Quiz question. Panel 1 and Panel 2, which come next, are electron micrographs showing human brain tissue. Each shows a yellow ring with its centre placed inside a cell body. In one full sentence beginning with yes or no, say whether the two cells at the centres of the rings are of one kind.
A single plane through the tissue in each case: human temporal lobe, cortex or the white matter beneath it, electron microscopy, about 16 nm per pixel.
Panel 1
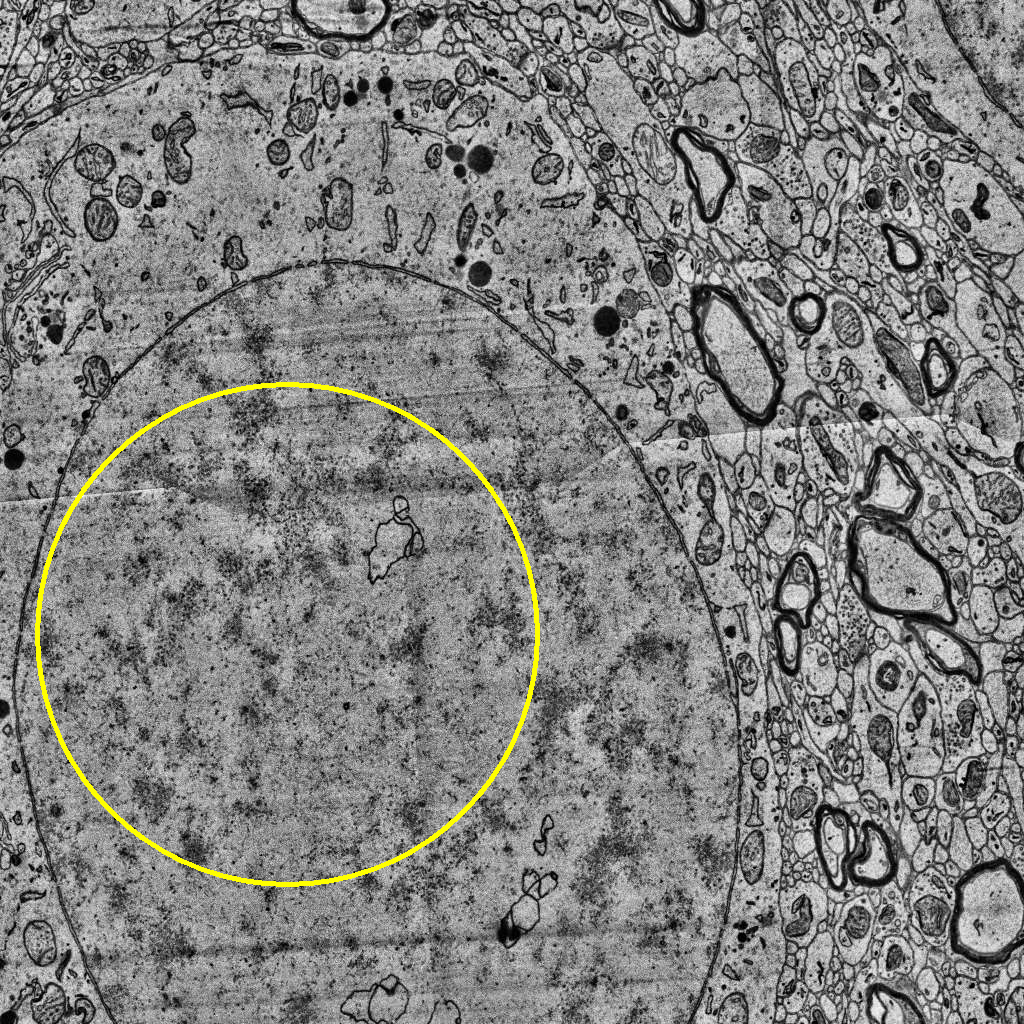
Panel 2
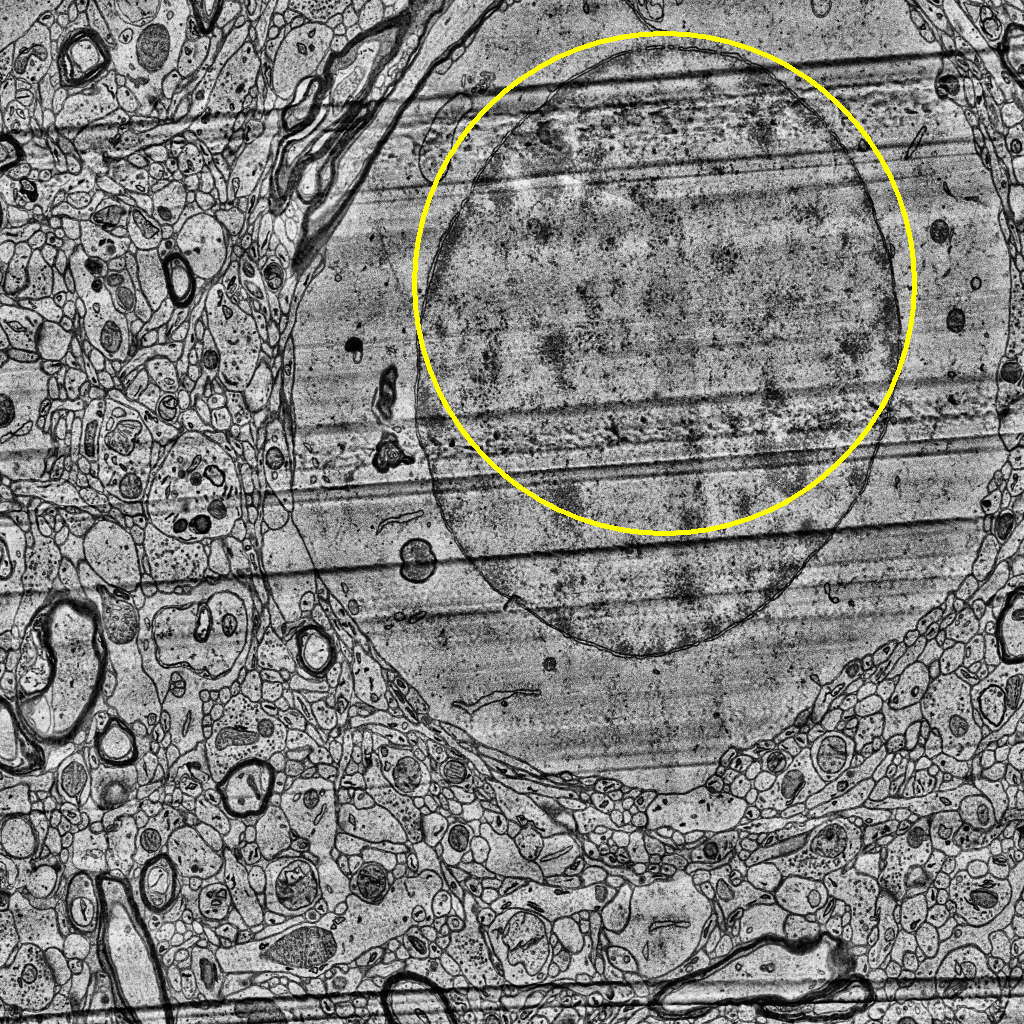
No, Panel 1 and Panel 2 show two kinds of cell at the centre of the ring.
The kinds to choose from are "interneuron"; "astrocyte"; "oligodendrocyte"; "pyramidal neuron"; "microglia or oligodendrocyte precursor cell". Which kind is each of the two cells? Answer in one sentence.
The ring of the first picture is on a pyramidal neuron, the ring of the second on an astrocyte.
